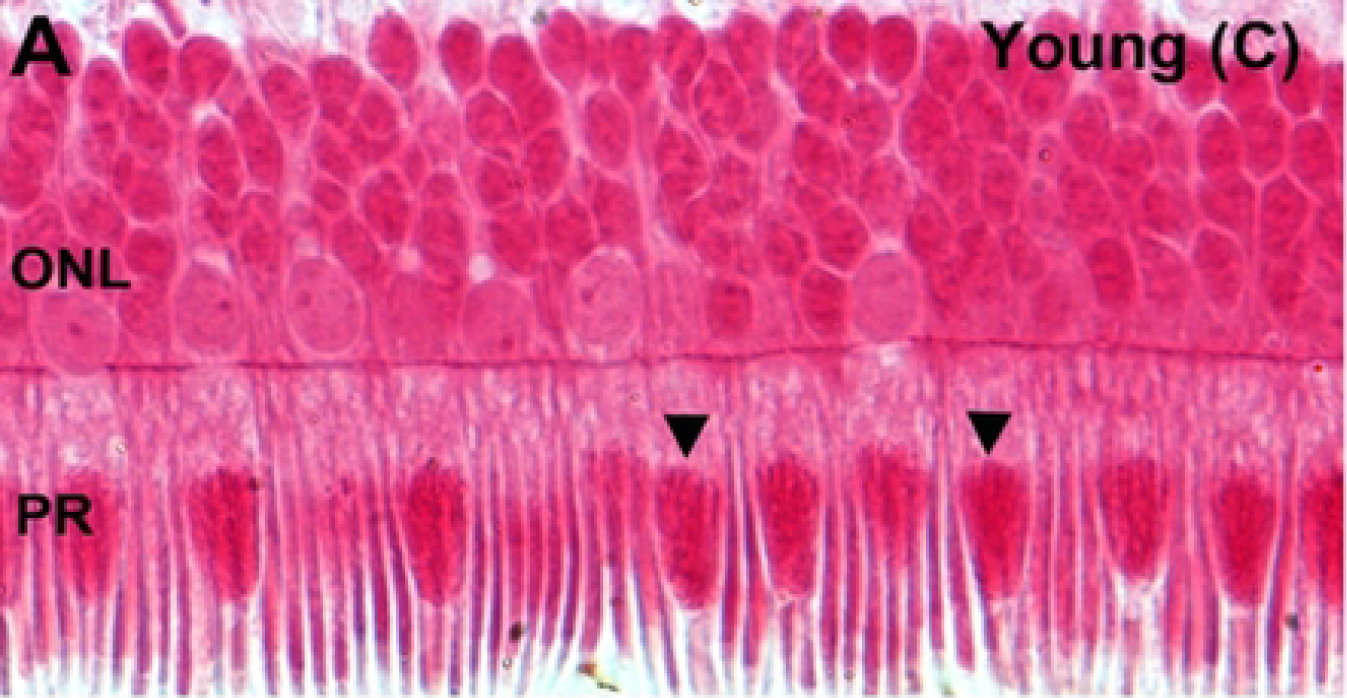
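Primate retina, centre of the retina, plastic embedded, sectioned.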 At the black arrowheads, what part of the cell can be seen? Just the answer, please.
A: Mitochondria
